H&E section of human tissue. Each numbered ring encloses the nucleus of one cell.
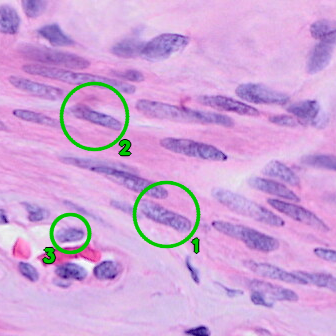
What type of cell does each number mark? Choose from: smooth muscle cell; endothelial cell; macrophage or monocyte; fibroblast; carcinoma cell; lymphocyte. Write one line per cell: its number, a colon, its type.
1: smooth muscle cell
2: smooth muscle cell
3: endothelial cell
